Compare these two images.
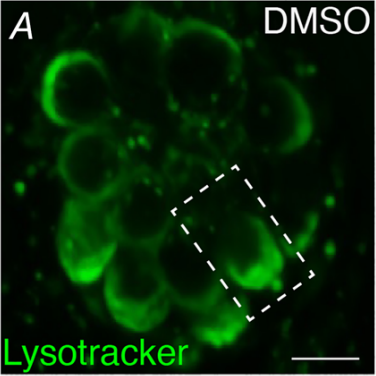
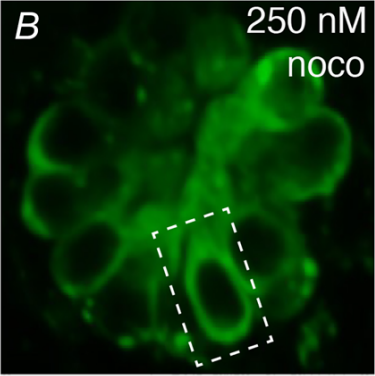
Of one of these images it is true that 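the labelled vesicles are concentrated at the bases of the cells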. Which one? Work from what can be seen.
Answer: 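First image: the green label is brightest in crescents at one end of the cells, beneath the nuclei.
The first image.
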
